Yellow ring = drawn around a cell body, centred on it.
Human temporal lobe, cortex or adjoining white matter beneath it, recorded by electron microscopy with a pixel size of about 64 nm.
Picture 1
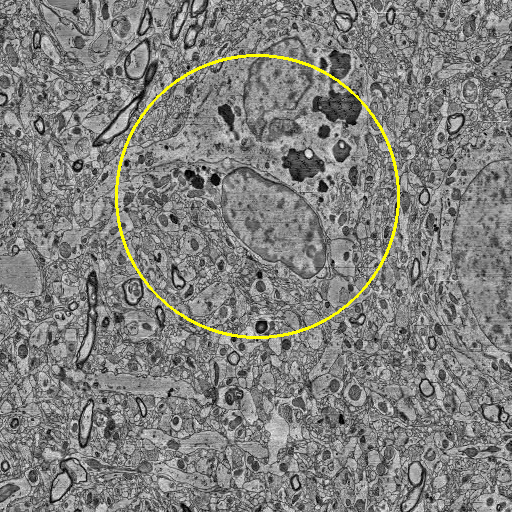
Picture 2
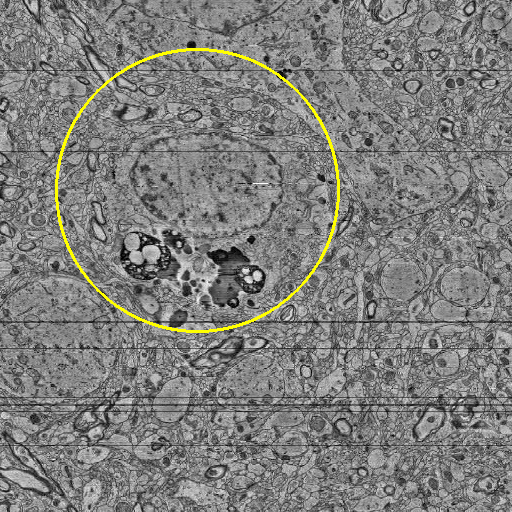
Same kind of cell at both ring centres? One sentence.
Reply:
No, they are two kinds of cell.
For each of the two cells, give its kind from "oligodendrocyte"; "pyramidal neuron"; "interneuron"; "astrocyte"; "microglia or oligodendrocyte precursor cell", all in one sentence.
The first picture has a microglial cell or oligodendrocyte precursor cell in its ring, the second has an astrocyte.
